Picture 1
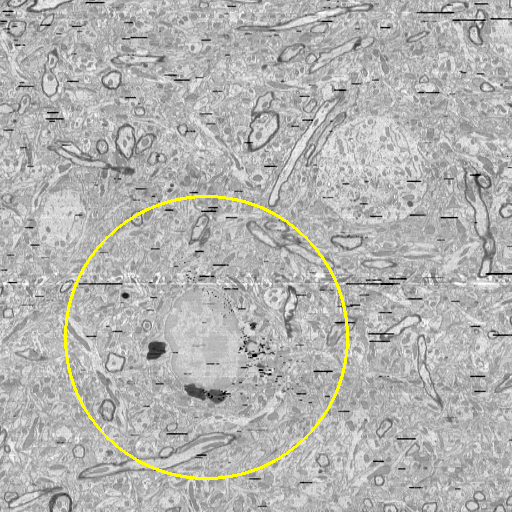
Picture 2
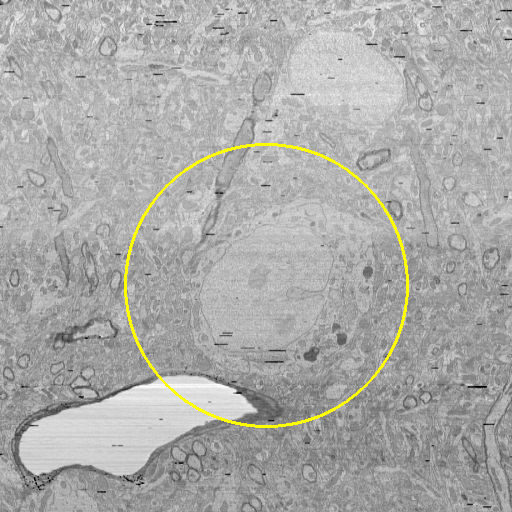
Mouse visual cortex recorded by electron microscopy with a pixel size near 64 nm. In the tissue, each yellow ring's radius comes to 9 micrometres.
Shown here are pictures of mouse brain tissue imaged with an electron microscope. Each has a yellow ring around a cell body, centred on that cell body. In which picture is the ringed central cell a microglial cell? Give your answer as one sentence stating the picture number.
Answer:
My answer is picture 1, where the ringed cell at the centre is the one sought.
